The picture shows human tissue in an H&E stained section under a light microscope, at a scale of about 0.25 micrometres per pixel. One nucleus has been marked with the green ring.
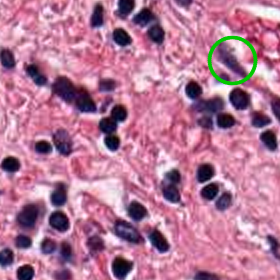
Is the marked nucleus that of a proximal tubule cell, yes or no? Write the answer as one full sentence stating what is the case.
No, not to a proximal tubule cell does the marked nucleus belong, but to a supporting cell.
